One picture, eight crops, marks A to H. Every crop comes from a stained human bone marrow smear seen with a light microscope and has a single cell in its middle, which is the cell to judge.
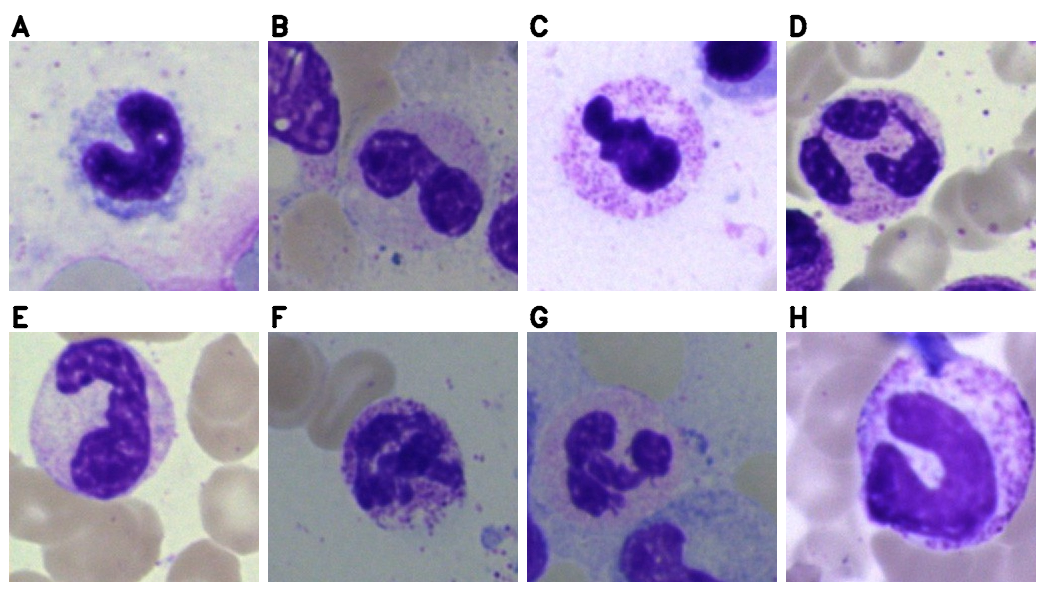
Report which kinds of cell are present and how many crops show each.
segmented neutrophil: 5
band neutrophil: 3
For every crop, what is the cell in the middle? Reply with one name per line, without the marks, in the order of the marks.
band neutrophil
segmented neutrophil
segmented neutrophil
segmented neutrophil
band neutrophil
segmented neutrophil
segmented neutrophil
band neutrophil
